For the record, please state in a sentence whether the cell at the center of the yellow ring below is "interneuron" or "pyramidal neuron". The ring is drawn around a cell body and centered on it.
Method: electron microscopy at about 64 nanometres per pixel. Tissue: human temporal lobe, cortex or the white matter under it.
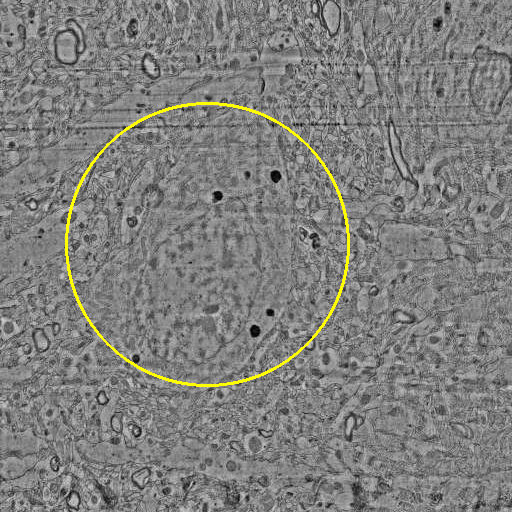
The cell at the ring's center is an interneuron.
